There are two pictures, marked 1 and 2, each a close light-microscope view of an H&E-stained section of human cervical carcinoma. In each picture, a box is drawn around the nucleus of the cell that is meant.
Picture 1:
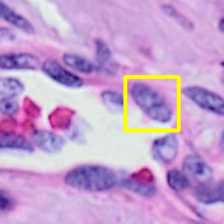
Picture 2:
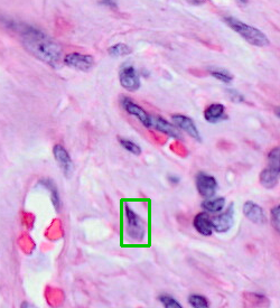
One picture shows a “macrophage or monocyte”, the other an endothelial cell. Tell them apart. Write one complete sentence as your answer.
In picture 1 the cell is an endothelial cell; in picture 2, a “macrophage or monocyte”.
